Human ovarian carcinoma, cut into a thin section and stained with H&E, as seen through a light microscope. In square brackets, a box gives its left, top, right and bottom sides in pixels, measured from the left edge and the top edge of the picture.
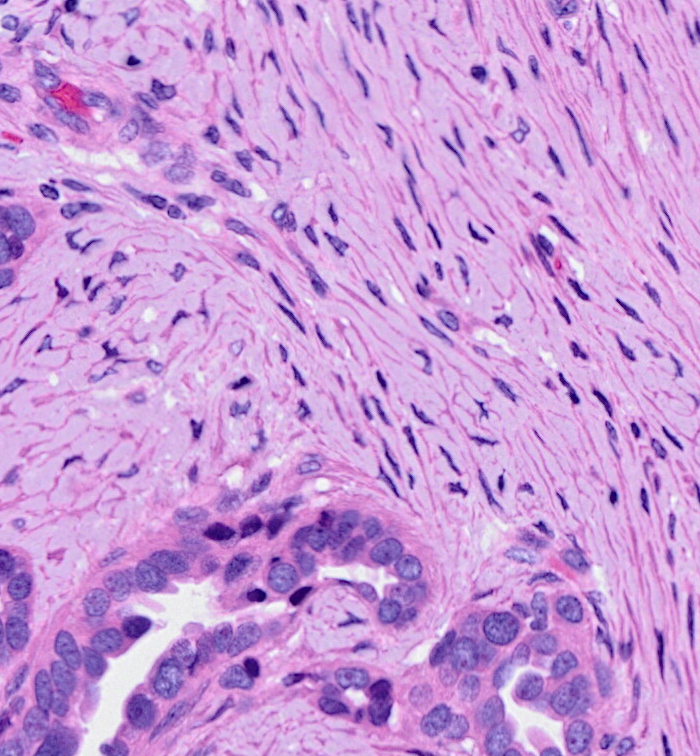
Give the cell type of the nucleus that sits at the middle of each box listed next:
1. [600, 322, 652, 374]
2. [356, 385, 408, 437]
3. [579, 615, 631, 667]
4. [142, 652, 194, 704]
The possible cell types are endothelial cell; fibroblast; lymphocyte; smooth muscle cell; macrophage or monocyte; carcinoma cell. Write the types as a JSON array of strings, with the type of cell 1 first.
["fibroblast", "fibroblast", "fibroblast", "carcinoma cell"]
